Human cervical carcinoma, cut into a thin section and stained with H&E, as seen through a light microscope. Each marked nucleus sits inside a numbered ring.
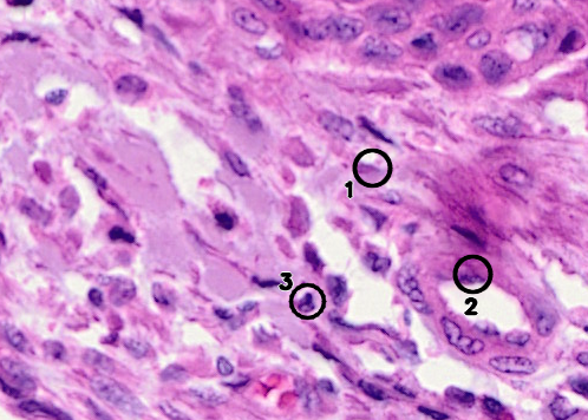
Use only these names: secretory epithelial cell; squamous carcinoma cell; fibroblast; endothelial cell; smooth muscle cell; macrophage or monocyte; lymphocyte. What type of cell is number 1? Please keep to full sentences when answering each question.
Within this field of view, the cell labelled 1 is a fibroblast.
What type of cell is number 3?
The marked nucleus 3 is that of a lymphocyte.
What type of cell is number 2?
Recognised here as an endothelial cell is the cell numbered 2.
